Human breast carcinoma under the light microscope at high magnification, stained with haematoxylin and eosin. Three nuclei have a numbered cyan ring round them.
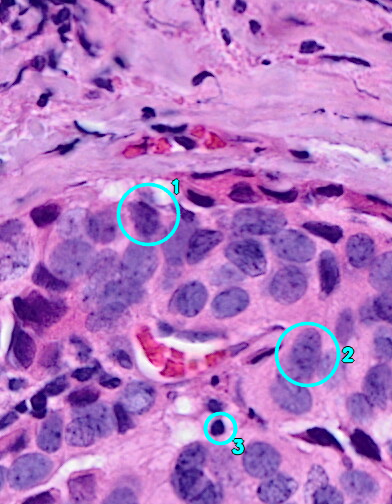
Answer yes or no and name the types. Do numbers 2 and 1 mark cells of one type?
Yes, the cell labelled 2 and the cell labelled 1 are both carcinoma cells.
